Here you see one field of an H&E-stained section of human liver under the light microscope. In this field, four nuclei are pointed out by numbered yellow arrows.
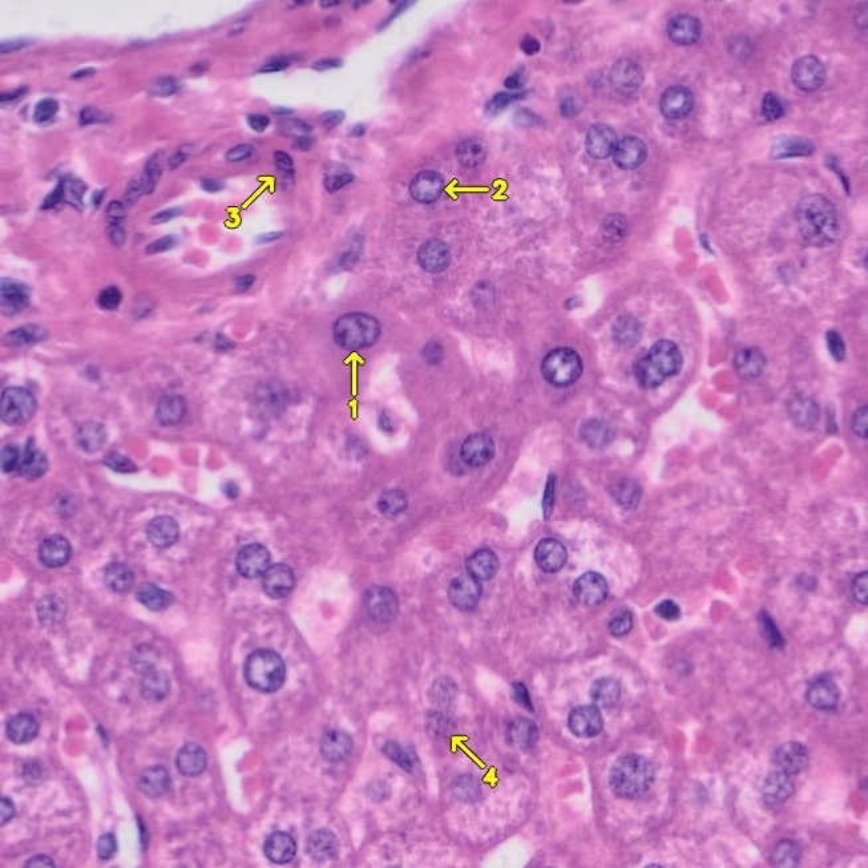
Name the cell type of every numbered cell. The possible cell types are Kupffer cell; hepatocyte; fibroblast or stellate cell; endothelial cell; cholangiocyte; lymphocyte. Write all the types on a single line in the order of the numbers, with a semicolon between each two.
hepatocyte; hepatocyte; fibroblast or stellate cell; hepatocyte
